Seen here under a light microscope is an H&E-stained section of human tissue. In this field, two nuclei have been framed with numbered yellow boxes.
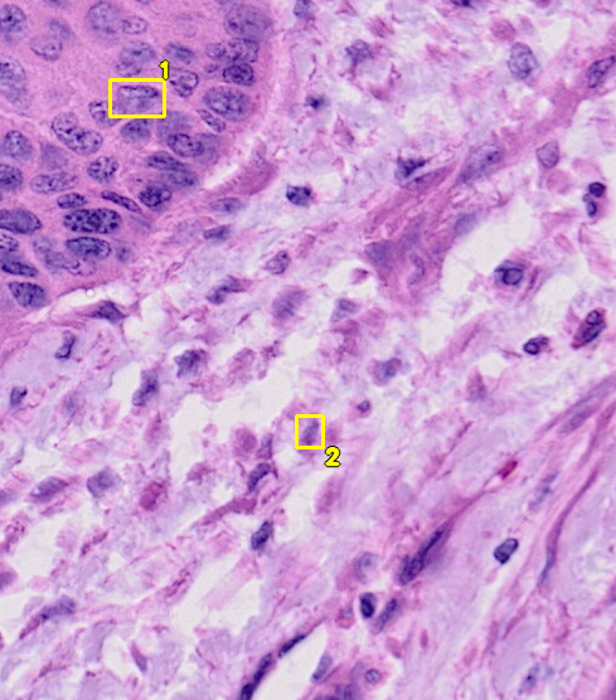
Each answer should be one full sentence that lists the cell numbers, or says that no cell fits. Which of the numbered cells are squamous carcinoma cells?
Only at number 1 is there a squamous carcinoma cell among the marked cells.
